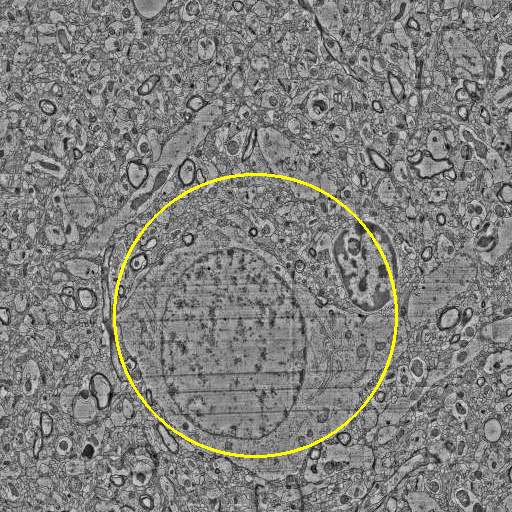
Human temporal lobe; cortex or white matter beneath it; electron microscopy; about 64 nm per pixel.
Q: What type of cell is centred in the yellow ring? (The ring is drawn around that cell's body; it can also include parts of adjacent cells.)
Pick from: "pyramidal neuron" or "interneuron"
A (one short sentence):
The yellow ring is centred on an interneuron.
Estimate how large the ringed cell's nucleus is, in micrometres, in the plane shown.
About 12 by 9 micrometers, in this plane.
